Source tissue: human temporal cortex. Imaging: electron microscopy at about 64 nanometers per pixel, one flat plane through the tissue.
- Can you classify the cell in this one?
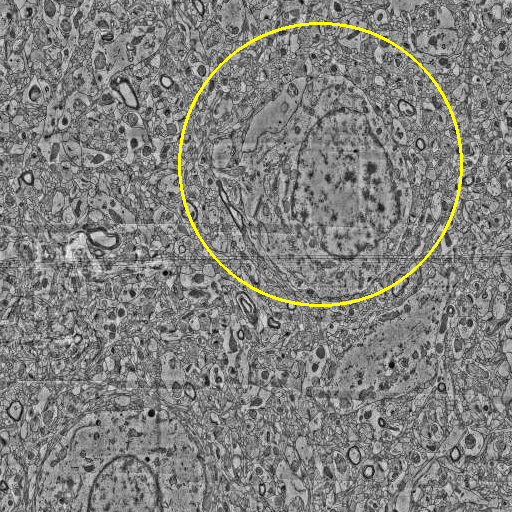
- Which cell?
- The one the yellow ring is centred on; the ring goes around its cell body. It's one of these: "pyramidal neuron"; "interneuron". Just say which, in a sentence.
The cell body in the ring belongs to an interneuron.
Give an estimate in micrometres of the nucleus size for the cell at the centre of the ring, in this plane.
About 10 by 7 micrometers for the nucleus, in this plane.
